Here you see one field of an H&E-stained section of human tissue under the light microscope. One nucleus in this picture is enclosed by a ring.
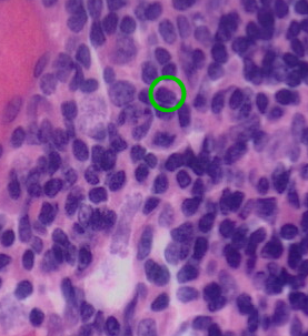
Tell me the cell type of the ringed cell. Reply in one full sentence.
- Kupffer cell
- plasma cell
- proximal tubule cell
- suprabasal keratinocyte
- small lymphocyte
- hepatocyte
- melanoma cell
To be brief about it, the ringed cell is a small lymphocyte.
